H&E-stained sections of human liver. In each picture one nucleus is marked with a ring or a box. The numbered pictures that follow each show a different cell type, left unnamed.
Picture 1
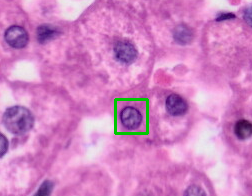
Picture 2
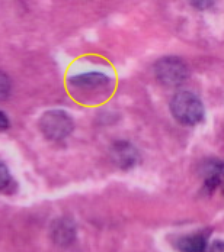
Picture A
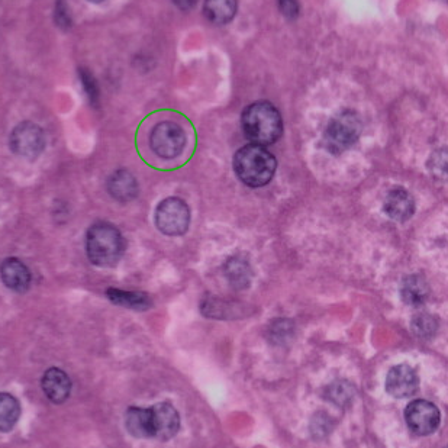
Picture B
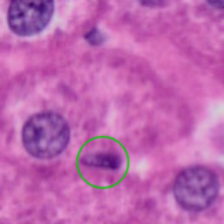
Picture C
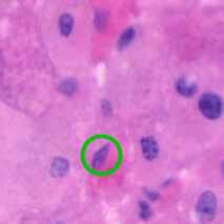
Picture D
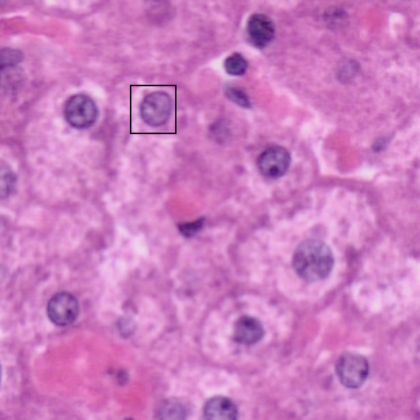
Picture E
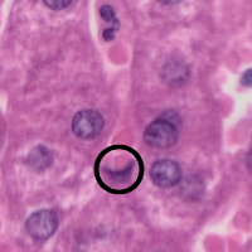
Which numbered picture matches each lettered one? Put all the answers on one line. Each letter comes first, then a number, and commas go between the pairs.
A 1, B 2, C 2, D 1, E 2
